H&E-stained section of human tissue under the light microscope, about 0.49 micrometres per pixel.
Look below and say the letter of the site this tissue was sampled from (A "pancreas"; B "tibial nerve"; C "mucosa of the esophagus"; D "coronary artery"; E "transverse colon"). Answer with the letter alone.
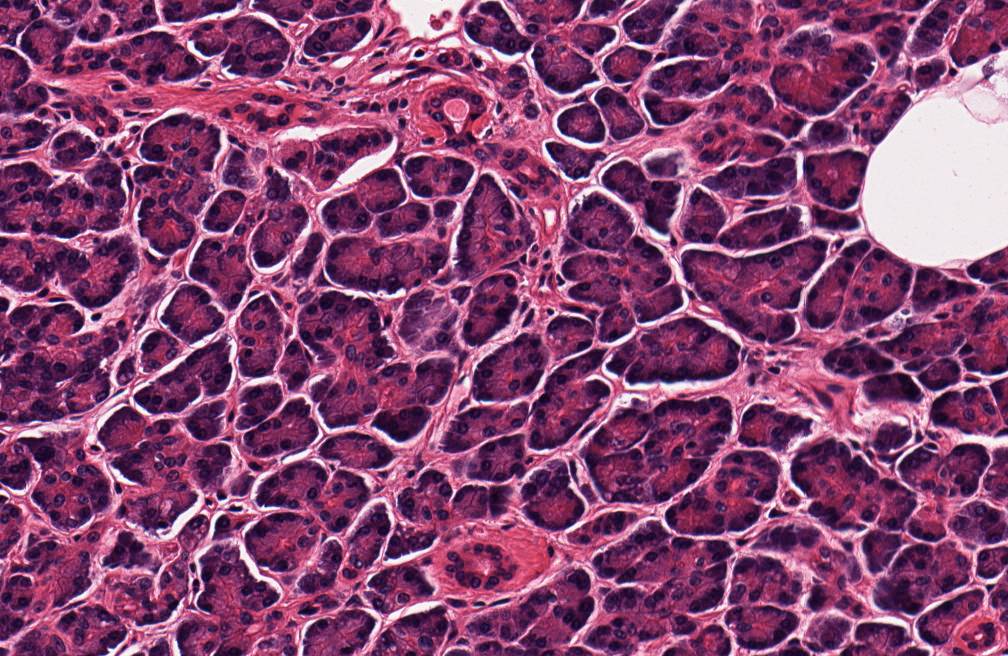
A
